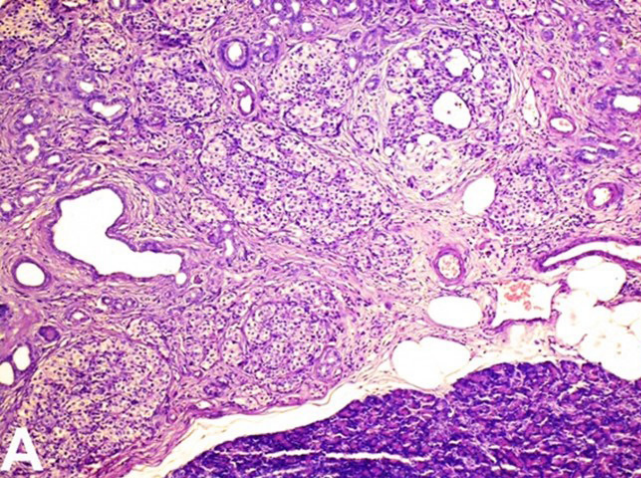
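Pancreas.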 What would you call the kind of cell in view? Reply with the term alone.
Islet cells.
